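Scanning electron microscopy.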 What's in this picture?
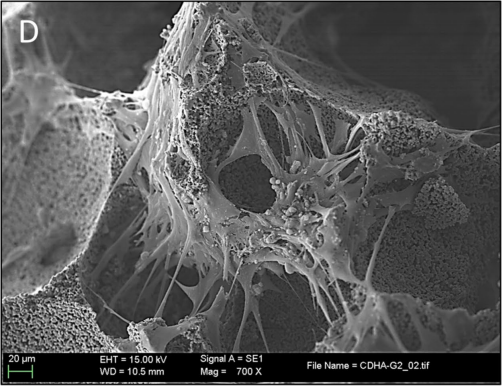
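The scaffold surface has a fine granular, microporous texture with round openings of various sizes. The cells form a sheet-like web from which numerous thin pseudopodia radiate in many directions. These slender processes stretch across open spaces and anchor on the pore margins, forming bridging connections between opposite sides. Some cell bodies are flattened against the scaffold while others are drawn out into taut strands.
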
